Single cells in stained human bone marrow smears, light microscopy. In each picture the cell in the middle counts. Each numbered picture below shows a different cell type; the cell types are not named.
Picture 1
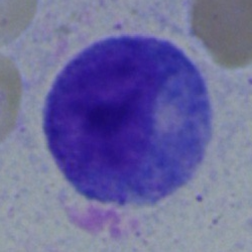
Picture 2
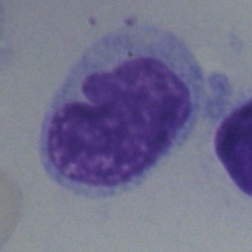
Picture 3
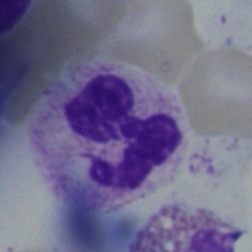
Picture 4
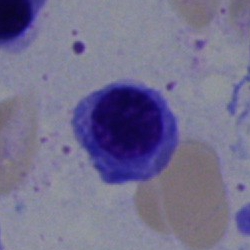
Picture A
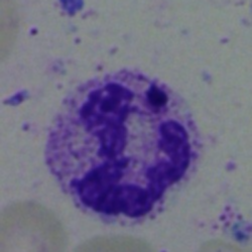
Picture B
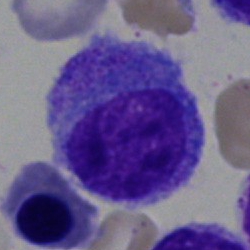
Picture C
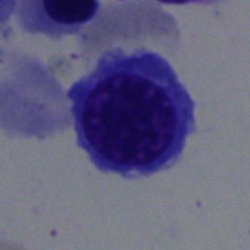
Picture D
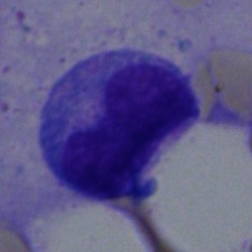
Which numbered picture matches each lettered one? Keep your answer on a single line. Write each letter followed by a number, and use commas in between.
A 3, B 1, C 4, D 2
